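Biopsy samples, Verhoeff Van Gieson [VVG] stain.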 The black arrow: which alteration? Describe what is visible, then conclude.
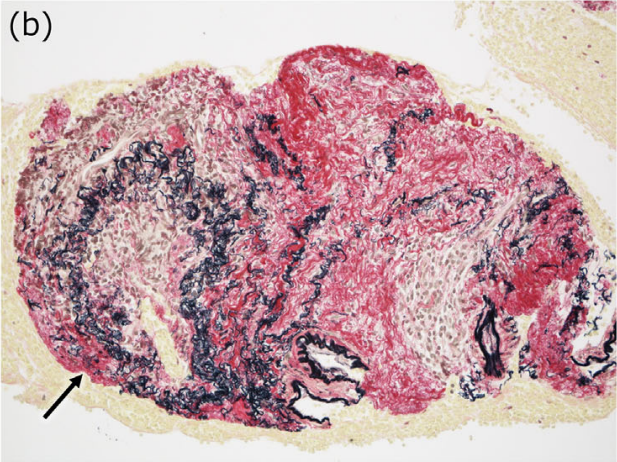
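Obliterative phlebitis. A ring of black-stained wavy fibres outlines a round vessel-like structure.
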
